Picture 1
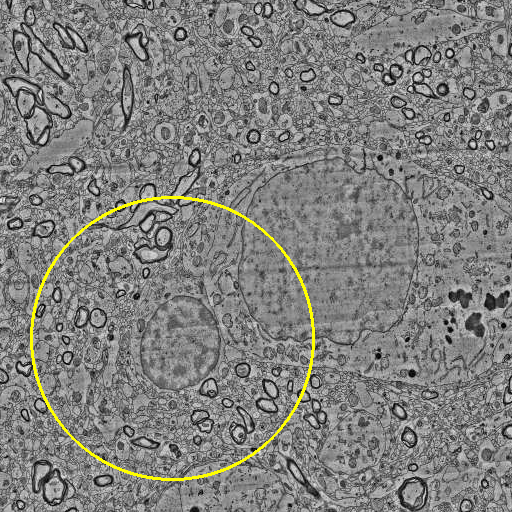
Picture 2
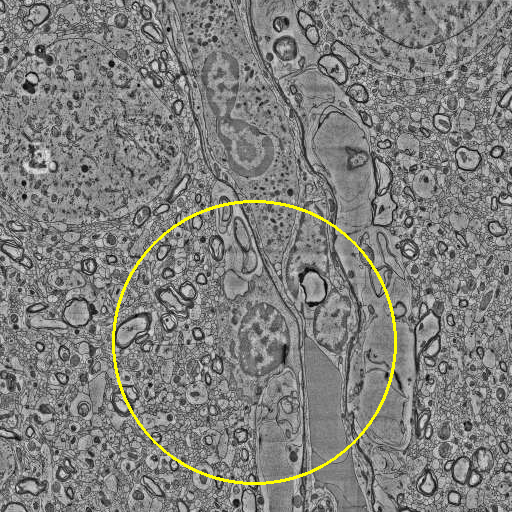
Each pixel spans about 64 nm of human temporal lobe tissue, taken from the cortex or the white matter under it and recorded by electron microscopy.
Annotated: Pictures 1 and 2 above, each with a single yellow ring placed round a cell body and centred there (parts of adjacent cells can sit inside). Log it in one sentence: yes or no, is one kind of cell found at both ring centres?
Yes, the ring centres of the two pictures hold cells of one kind.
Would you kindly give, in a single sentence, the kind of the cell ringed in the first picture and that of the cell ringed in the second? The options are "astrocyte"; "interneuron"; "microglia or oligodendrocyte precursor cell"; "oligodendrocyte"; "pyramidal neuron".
Both rings mark an oligodendrocyte, one in each picture.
